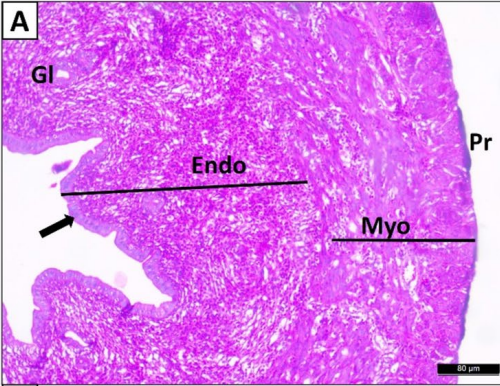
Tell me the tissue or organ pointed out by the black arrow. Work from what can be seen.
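Simple columnar epithelial lining. The arrow points at the single cell layer lining the lumen.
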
